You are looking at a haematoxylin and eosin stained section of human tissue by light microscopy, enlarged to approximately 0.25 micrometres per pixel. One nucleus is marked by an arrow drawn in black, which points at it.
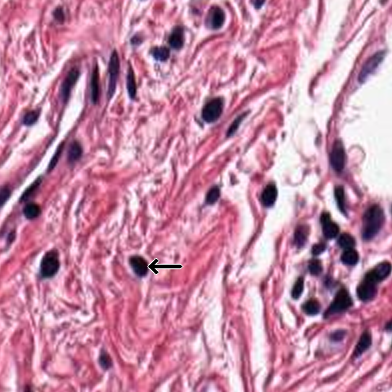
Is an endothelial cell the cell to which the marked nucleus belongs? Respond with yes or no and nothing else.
no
